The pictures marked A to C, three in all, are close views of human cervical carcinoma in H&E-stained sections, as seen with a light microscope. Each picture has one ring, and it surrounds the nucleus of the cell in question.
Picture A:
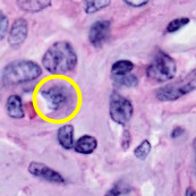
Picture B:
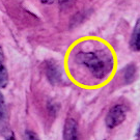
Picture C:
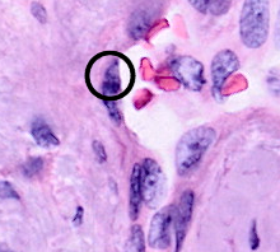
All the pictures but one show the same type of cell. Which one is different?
B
